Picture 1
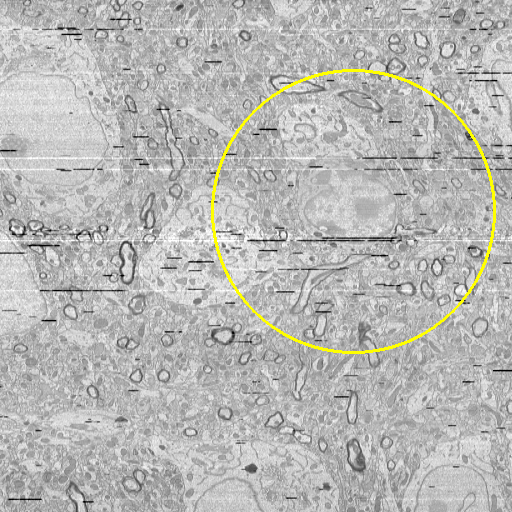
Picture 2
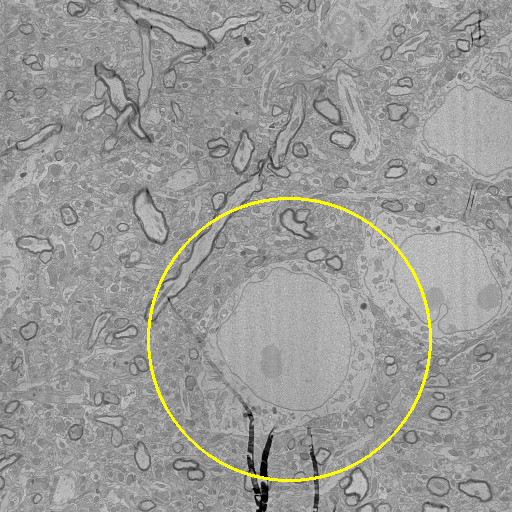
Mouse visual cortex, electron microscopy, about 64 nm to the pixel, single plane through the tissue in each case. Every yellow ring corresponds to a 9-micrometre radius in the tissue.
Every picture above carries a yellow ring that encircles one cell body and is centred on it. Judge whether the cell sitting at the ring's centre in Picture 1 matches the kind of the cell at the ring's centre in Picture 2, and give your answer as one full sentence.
No, the cells centred in the rings of Pictures 1 and 2 belong to two kinds.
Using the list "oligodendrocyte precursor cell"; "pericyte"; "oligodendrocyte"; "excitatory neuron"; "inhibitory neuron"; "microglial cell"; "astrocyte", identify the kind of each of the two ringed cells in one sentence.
The first is an oligodendrocyte and the second is an excitatory neuron.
